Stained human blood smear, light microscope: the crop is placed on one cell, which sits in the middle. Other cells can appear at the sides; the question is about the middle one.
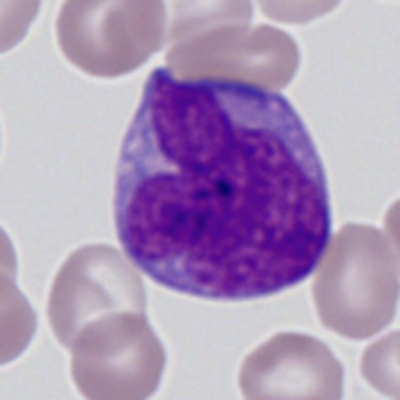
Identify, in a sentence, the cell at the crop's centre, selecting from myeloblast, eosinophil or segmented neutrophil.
What sits at the centre of this crop is a myeloblast.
